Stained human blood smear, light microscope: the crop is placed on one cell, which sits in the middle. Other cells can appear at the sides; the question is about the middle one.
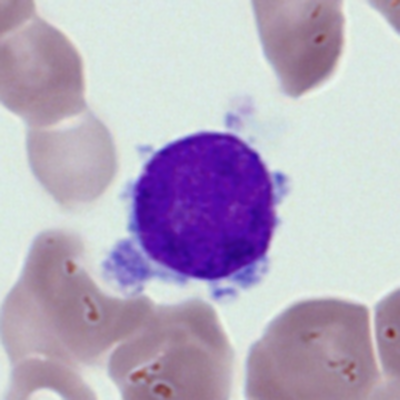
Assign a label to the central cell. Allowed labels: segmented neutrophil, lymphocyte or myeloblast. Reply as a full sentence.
The cell in the exact centre of the crop is a lymphocyte.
